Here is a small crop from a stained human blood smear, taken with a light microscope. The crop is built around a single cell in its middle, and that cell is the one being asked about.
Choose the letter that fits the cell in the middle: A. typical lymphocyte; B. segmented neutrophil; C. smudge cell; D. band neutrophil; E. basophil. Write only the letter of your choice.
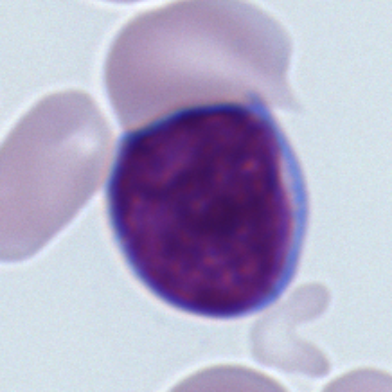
A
